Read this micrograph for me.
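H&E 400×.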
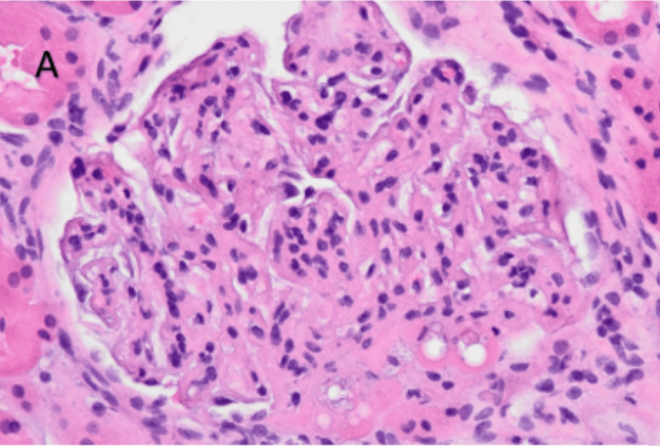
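This is a kidney glomerulus in a pink and purple stain, its tuft broken into several lobules by pink mesangial matrix that looks widened. Many dark, oval nuclei crowd the tuft, and the capillary loops are hard to make out as open channels. A narrow clear space separates the tuft from the surrounding capsule, and outside lie tubules and interstitial cells. Near the lower edge of the tuft a few round clear vacuoles are seen.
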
